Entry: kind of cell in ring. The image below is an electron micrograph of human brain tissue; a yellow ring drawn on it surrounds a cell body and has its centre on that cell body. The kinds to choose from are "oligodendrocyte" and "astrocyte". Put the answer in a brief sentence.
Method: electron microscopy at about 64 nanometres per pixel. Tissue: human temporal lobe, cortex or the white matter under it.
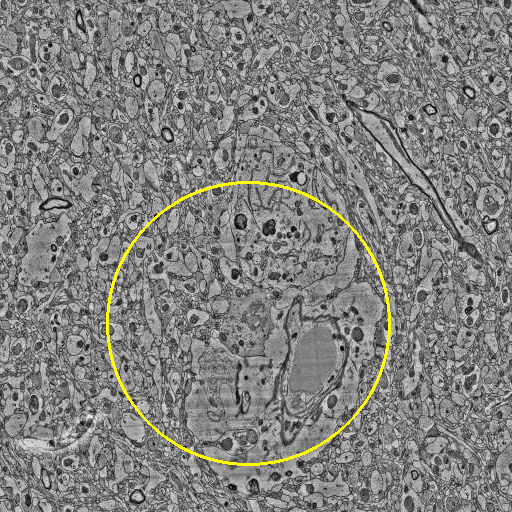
The ring has been drawn around an oligodendrocyte.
